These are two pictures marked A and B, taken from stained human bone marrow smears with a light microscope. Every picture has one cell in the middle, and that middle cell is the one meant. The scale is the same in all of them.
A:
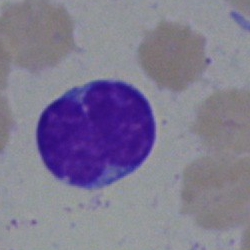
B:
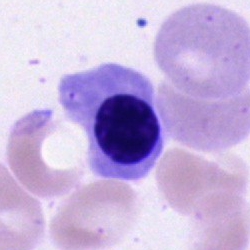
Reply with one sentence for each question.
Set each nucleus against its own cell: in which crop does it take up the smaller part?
The nucleus fills less of the cell in crop B than in crop A.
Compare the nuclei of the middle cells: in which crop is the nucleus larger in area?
It is the nucleus in crop A, about 2.5 times as large in area as the one in crop B.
